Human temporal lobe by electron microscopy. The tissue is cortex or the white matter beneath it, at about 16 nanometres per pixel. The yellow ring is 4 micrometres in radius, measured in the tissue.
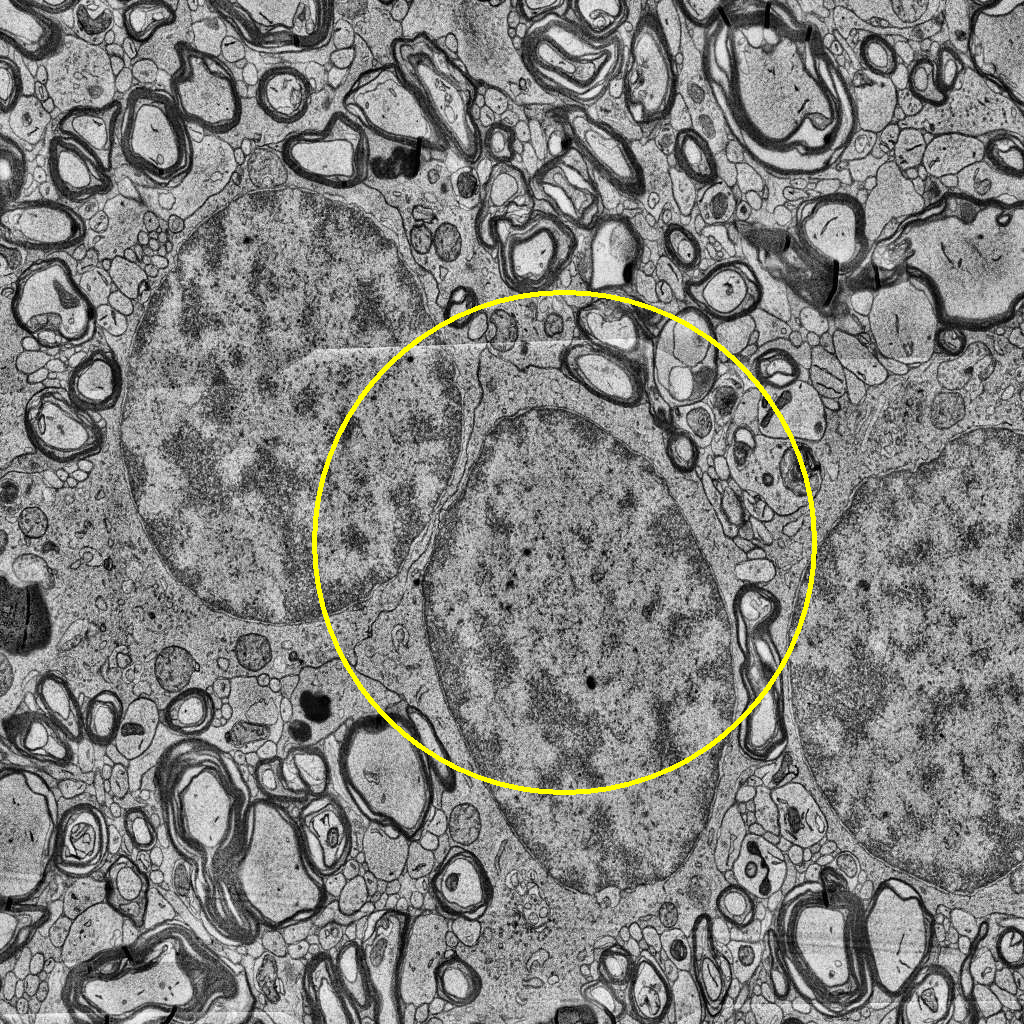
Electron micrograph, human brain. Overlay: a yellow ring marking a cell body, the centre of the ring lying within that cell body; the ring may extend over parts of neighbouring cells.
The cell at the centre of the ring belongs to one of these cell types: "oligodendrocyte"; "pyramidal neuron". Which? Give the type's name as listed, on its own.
oligodendrocyte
